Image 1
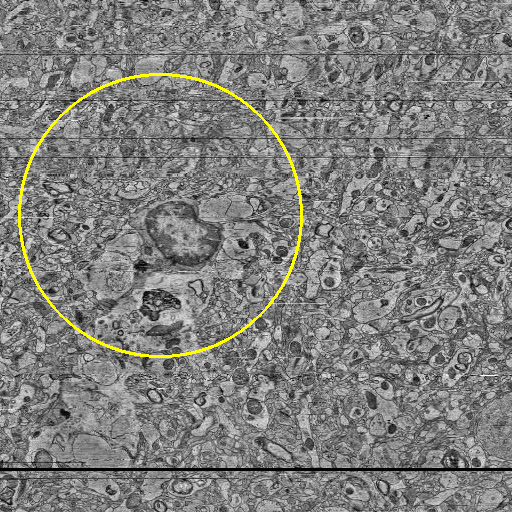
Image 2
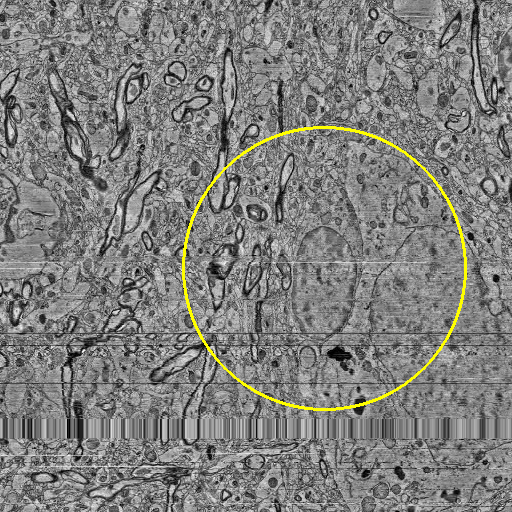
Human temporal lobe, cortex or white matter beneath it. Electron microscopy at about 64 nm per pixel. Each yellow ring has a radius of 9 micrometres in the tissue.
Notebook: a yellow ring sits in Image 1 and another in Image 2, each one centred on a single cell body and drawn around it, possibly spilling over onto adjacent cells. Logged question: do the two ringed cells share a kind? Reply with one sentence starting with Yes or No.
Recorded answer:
Yes, both centre cells inside the rings of Image 1 and Image 2 share one kind.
